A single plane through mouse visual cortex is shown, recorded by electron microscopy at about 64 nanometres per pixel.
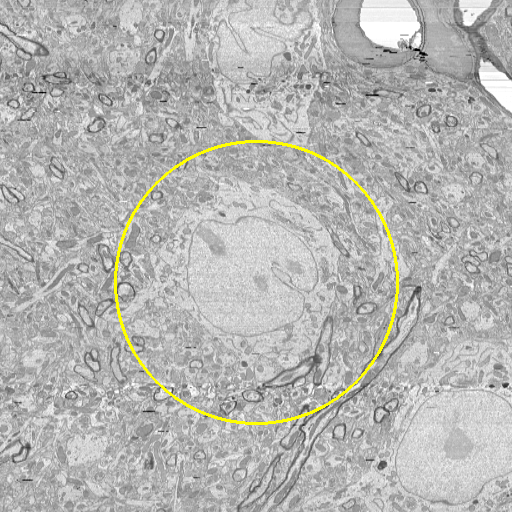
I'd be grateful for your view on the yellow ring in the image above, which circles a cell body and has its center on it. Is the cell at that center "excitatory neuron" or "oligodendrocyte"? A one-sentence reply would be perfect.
The cell at the center of the yellow ring is an excitatory neuron.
